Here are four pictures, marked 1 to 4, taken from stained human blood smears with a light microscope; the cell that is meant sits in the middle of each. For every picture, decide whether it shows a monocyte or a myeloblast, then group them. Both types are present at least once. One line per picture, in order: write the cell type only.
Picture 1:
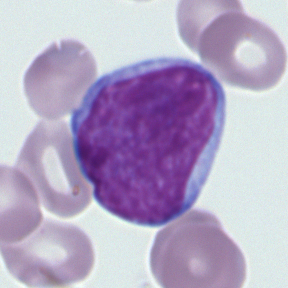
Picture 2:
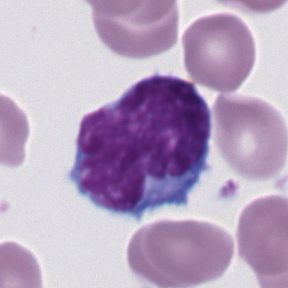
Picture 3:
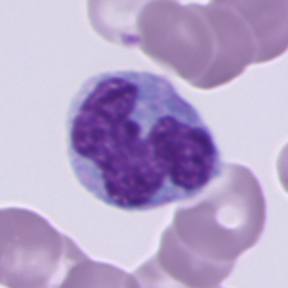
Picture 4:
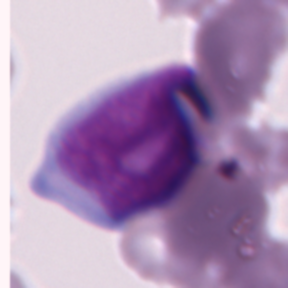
myeloblast
monocyte
monocyte
myeloblast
